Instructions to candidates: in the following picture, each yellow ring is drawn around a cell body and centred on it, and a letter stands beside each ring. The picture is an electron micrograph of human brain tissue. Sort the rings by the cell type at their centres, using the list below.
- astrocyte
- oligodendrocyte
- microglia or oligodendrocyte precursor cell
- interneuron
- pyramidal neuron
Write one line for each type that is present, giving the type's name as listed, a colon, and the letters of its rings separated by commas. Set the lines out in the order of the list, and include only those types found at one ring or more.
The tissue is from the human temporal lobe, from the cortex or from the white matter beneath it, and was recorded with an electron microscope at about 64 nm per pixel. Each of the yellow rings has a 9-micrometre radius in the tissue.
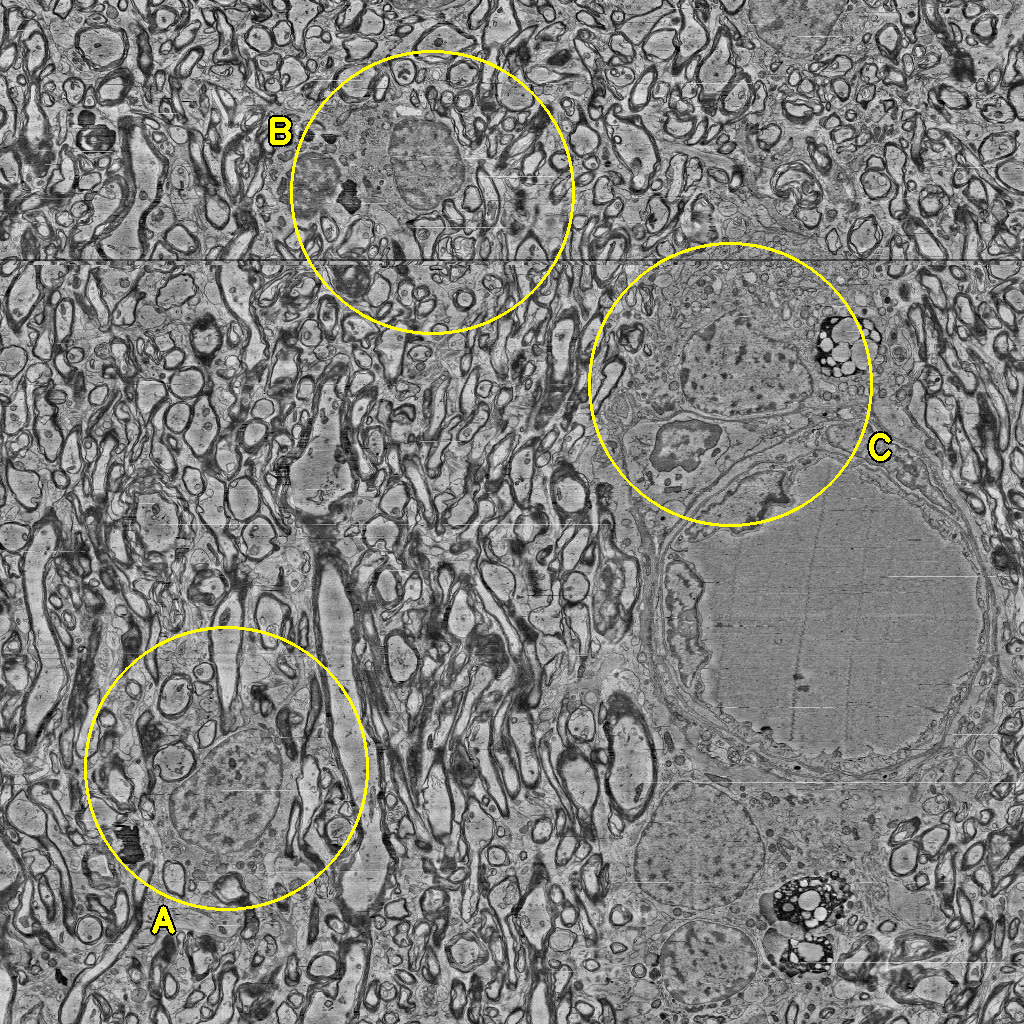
astrocyte: C
oligodendrocyte: A, B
